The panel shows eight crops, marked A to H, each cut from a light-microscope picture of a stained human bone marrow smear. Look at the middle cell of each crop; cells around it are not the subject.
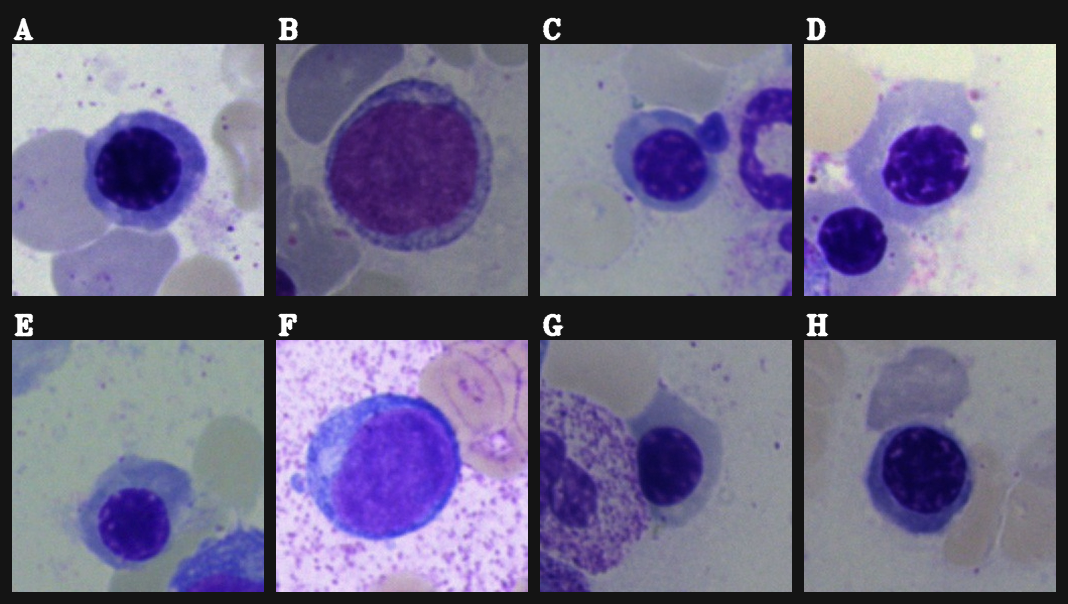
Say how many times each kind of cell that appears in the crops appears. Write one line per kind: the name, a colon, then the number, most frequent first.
normoblast: 6
blast: 2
